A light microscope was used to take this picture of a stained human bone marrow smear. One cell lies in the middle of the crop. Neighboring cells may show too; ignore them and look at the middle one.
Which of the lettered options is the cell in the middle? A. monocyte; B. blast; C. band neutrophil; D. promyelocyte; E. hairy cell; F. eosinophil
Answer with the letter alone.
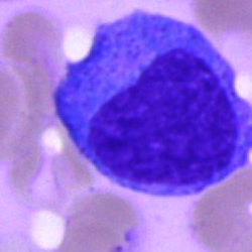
D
